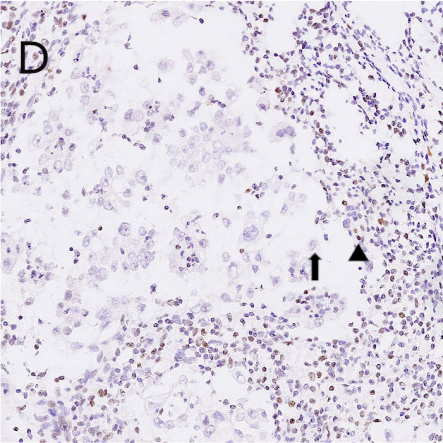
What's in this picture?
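Nests of large tumor cells with abundant pale to clear cytoplasm and round blue nuclei lie within a cellular stroma. Loosely arranged, partly detached tumor cells fill the centre of the nest.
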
